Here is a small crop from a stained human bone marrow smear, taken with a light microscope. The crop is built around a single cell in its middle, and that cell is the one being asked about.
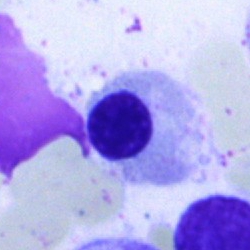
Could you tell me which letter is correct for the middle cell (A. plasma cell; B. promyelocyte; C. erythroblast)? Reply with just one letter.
C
